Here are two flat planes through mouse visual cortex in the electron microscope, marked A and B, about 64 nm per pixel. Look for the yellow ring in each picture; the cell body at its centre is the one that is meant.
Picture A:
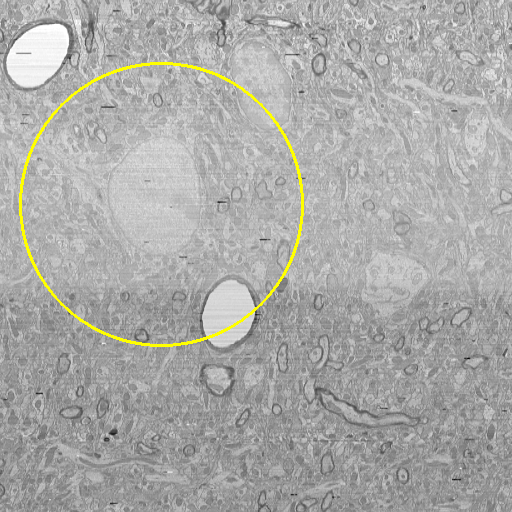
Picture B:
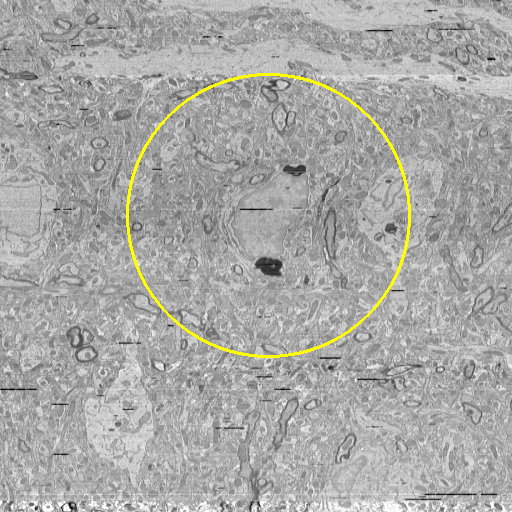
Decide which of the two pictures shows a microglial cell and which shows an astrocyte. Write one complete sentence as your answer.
In picture A the cell is an astrocyte; in picture B, a microglial cell.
